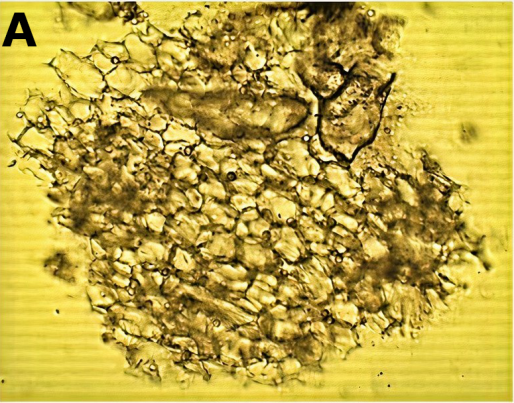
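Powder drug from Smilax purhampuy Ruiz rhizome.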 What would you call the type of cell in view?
Parenchyma cells.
